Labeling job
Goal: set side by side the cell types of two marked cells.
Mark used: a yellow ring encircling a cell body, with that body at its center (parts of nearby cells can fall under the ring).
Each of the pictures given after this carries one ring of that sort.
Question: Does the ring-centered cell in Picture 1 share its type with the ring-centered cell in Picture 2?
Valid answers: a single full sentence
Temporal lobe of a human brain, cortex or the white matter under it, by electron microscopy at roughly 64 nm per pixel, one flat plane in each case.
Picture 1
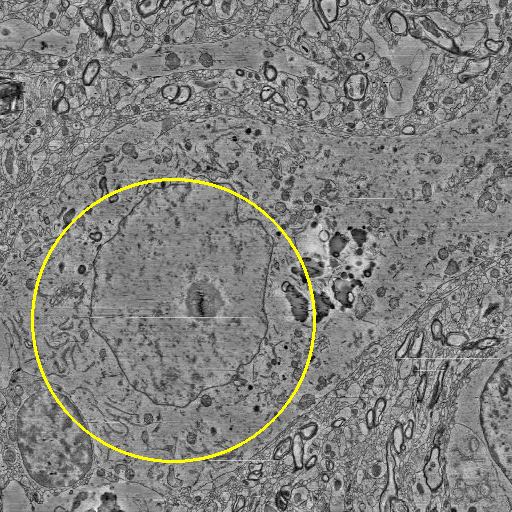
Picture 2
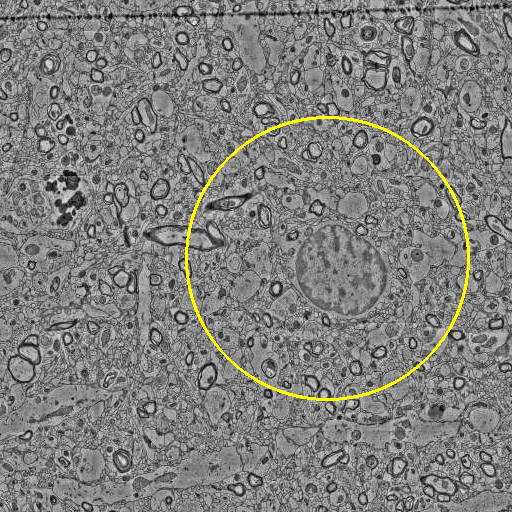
No, in Pictures 1 and 2 the cells at the ring centers have separate types.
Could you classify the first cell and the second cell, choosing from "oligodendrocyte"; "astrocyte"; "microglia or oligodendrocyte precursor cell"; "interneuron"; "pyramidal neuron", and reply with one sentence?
The second cell is an oligodendrocyte, while the first is a pyramidal neuron.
